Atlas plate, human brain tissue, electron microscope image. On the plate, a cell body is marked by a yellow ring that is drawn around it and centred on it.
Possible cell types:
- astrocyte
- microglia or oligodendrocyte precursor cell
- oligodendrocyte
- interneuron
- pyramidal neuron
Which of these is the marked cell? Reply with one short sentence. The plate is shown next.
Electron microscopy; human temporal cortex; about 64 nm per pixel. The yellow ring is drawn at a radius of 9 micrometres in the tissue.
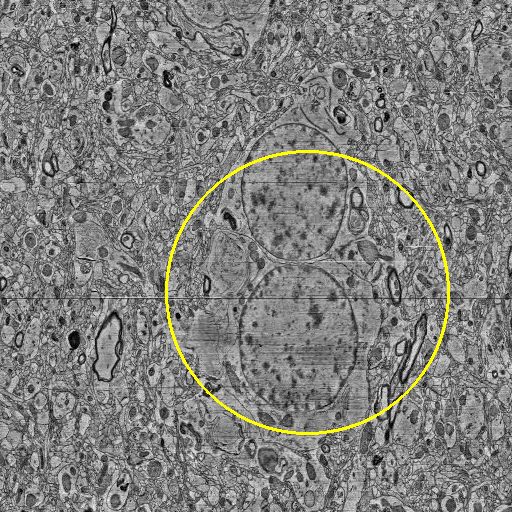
The marked cell is an astrocyte.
